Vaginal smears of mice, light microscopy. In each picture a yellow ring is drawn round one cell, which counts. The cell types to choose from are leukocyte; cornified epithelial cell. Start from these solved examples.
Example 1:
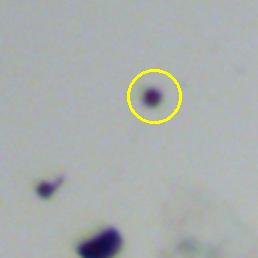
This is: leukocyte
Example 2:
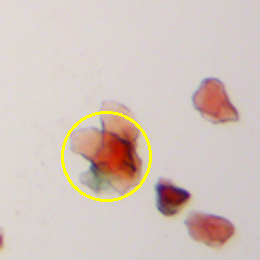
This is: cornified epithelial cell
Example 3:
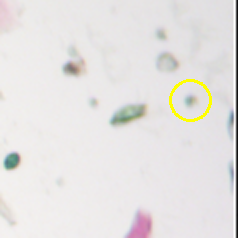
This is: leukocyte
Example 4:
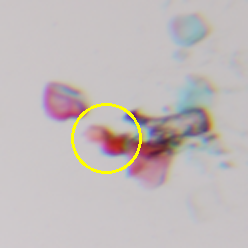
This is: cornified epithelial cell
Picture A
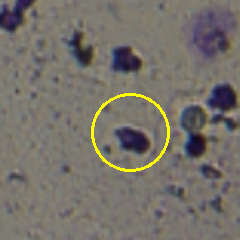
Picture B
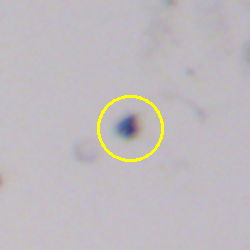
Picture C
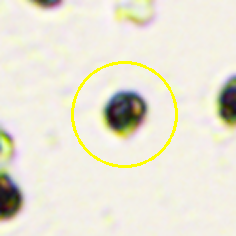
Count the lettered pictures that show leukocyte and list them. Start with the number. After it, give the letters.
Count: 3 (A, B, C)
